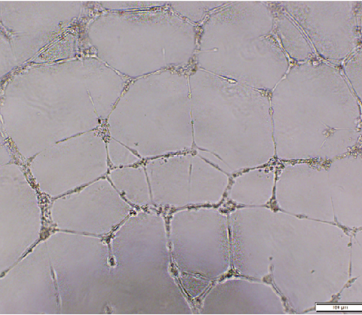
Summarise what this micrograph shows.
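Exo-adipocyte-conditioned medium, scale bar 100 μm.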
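This unstained culture shows endothelial cells that have arranged themselves into a network of tube-like cords on a pale, even background. The cords are formed by slender, elongated cells joined end to end. They link up into many closed, roughly polygonal meshes that cover the whole field. At the junctions where several cords meet, small clusters of rounded, slightly refractile cells gather. The spaces enclosed by the meshes are empty of cells.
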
